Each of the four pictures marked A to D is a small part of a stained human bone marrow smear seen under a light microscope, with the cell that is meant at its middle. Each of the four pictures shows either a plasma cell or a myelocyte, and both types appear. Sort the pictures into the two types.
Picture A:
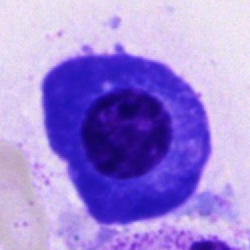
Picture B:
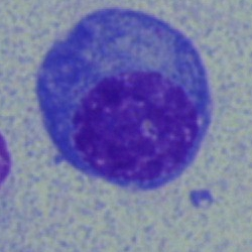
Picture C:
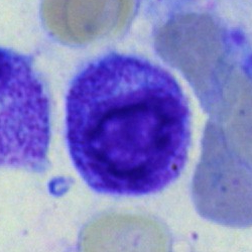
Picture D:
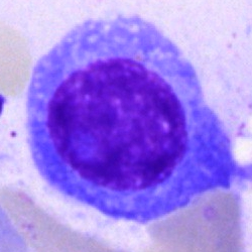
A: plasma cell
B: plasma cell
C: myelocyte
D: plasma cell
